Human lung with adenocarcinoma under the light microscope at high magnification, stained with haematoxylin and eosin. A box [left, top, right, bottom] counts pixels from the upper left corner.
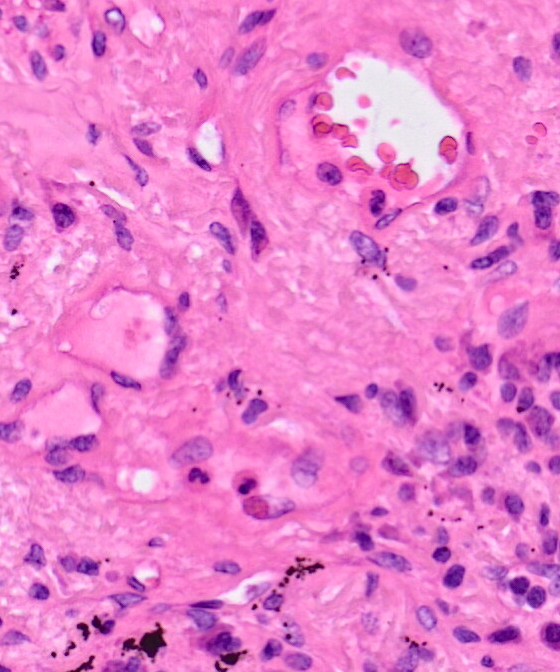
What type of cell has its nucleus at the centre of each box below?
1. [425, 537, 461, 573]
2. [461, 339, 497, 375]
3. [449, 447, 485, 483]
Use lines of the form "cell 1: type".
cell 1: lymphocyte
cell 2: plasma cell
cell 3: plasma cell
